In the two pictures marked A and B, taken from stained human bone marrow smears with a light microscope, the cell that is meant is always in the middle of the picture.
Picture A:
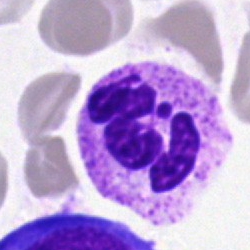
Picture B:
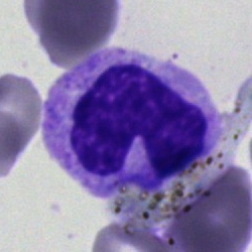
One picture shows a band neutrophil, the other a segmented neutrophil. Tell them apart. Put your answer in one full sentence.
Picture A is of a segmented neutrophil, and picture B is of a band neutrophil.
